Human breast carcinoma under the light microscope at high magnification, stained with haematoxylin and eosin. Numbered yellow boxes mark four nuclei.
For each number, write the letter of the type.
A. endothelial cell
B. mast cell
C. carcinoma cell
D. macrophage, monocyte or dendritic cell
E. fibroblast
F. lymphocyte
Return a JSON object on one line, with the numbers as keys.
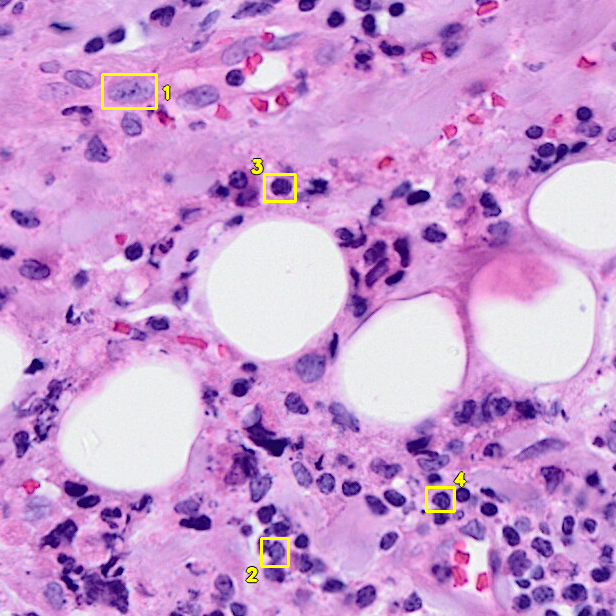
{"1": "A", "2": "F", "3": "F", "4": "F"}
